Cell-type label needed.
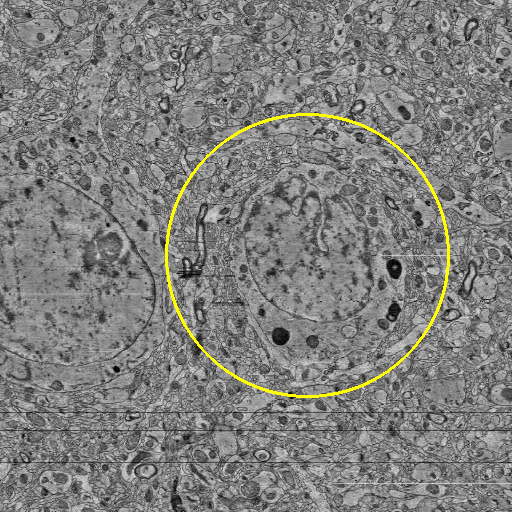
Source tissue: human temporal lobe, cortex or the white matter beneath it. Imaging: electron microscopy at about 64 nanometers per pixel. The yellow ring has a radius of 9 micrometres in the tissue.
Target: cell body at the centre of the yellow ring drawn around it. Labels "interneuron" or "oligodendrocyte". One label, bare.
interneuron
